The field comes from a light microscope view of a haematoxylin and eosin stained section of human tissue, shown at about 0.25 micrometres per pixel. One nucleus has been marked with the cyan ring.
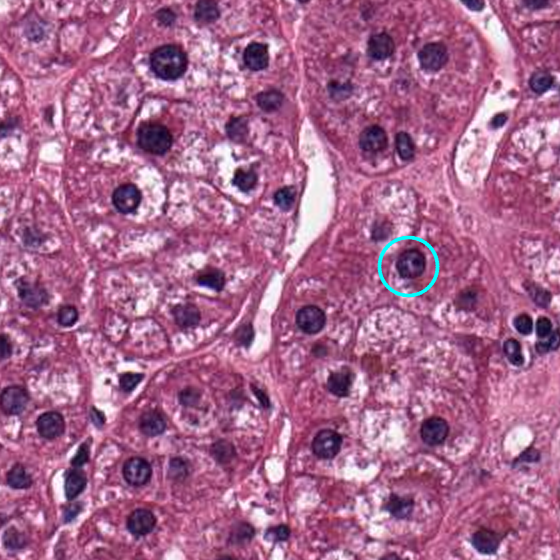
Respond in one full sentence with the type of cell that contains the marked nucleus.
Located in an adrenal cortical cell is the marked nucleus.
